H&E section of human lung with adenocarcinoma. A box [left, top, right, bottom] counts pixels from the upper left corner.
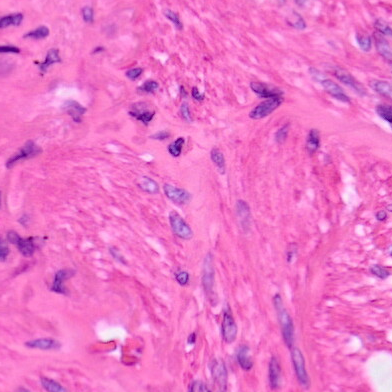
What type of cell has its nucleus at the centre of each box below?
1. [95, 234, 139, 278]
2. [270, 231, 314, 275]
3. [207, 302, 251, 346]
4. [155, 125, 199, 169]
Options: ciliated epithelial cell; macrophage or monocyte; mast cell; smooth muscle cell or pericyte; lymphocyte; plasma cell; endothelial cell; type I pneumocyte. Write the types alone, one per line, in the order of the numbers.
smooth muscle cell or pericyte
smooth muscle cell or pericyte
smooth muscle cell or pericyte
mast cell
